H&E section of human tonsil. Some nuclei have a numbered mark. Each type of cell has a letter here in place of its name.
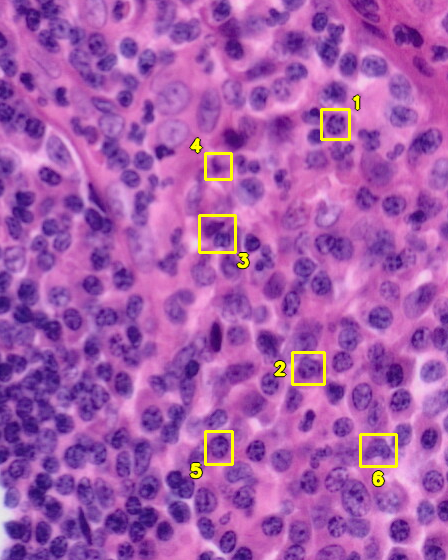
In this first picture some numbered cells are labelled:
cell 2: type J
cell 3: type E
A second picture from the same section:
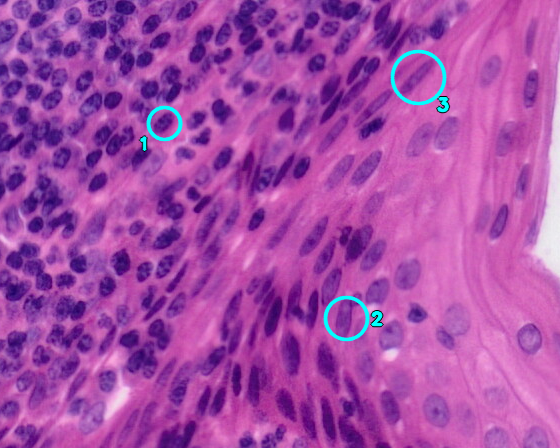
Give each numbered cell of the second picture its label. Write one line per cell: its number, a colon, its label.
1: type J
2: type E
3: type E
